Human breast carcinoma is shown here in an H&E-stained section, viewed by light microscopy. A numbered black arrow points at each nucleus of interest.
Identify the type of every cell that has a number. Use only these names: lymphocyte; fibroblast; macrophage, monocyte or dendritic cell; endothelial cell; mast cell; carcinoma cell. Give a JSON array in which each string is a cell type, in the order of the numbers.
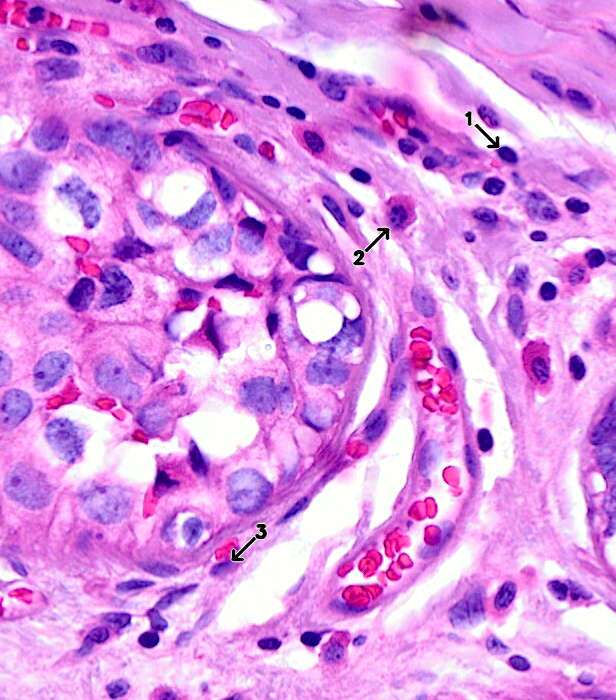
["lymphocyte", "mast cell", "endothelial cell"]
